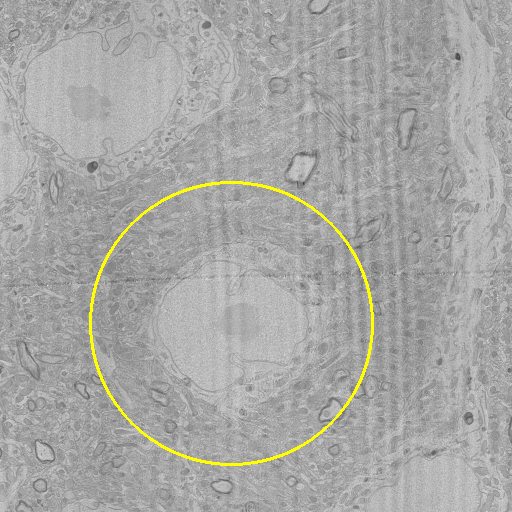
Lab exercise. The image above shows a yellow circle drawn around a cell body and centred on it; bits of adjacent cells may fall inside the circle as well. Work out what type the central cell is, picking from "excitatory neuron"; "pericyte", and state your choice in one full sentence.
In the image above, the cell at the centre of the yellow circle is an excitatory neuron.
